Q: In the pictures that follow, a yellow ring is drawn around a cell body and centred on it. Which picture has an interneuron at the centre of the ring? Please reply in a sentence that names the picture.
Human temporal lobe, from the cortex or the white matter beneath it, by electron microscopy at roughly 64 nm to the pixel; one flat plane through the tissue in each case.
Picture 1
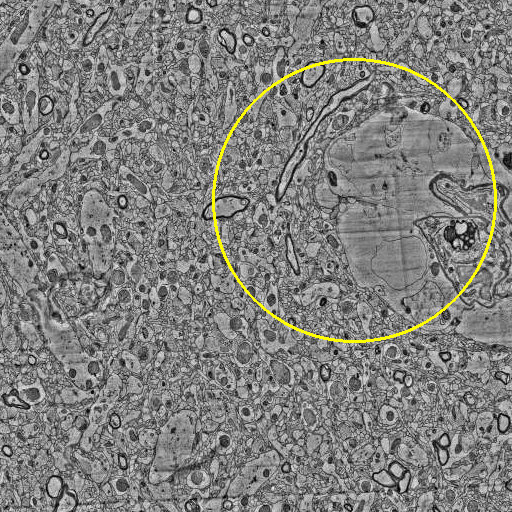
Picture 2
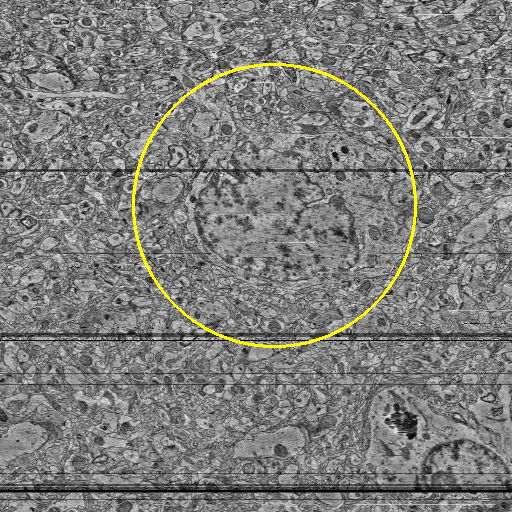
Picture 2 shows it at the centre of its ring.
